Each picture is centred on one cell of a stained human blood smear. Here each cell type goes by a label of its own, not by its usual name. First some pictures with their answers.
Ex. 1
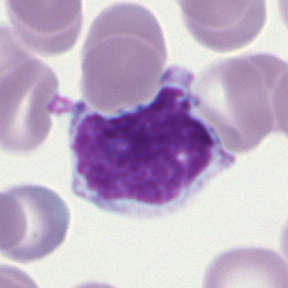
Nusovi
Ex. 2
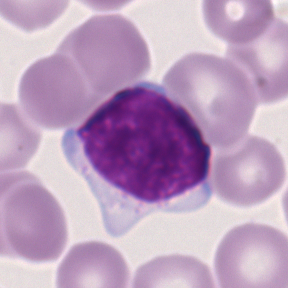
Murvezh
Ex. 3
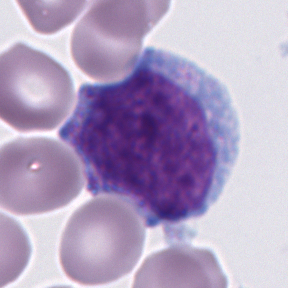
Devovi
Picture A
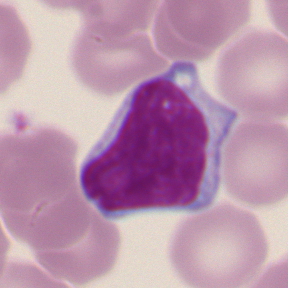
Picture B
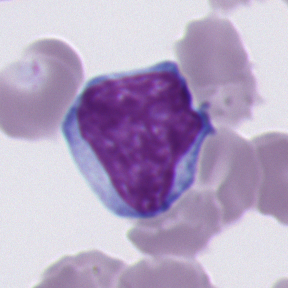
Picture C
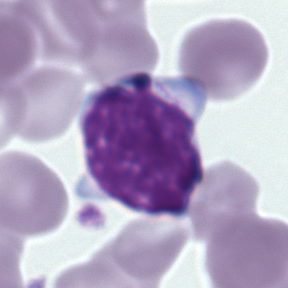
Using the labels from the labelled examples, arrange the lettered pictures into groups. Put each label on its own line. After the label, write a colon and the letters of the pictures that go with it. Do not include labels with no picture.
Nusovi: A, B
Murvezh: C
